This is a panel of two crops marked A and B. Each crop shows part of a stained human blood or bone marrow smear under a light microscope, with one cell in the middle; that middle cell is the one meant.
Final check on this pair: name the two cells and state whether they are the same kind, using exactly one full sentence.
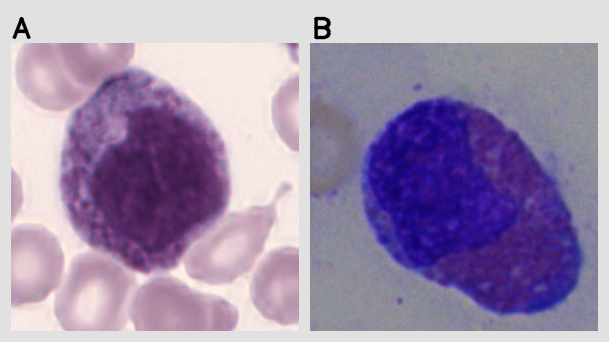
No, crop A shows a promyelocyte, and the cell in crop B is an eosinophil.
